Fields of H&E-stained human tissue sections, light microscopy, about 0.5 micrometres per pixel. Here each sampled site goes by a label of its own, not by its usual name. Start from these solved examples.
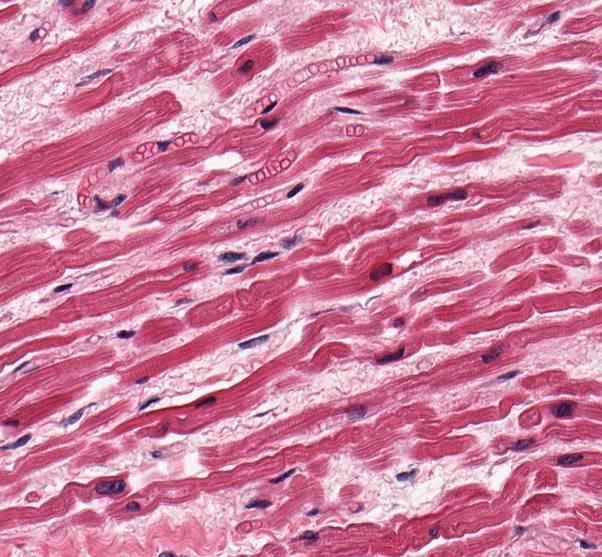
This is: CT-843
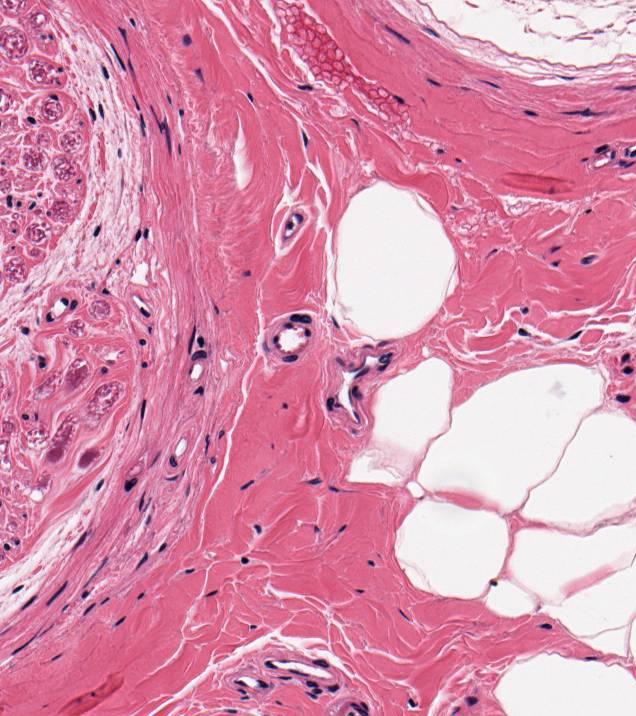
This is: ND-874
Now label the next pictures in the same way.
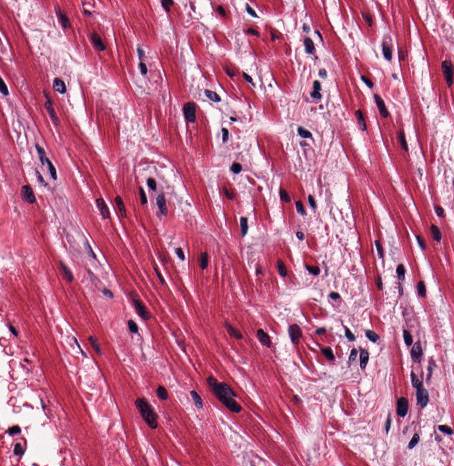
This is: CT-843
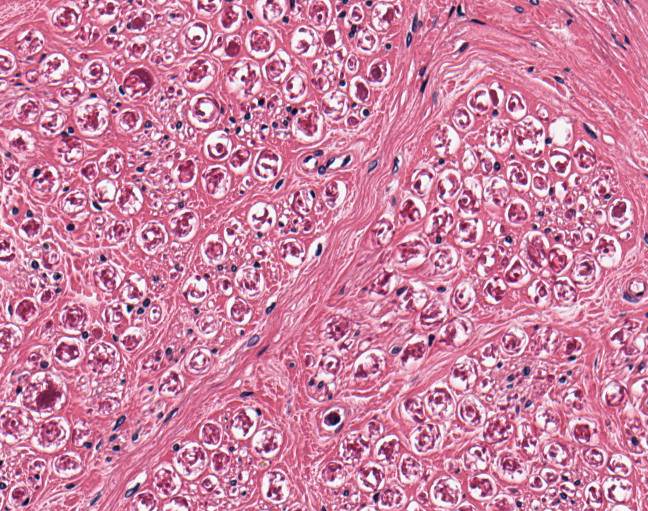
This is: ND-874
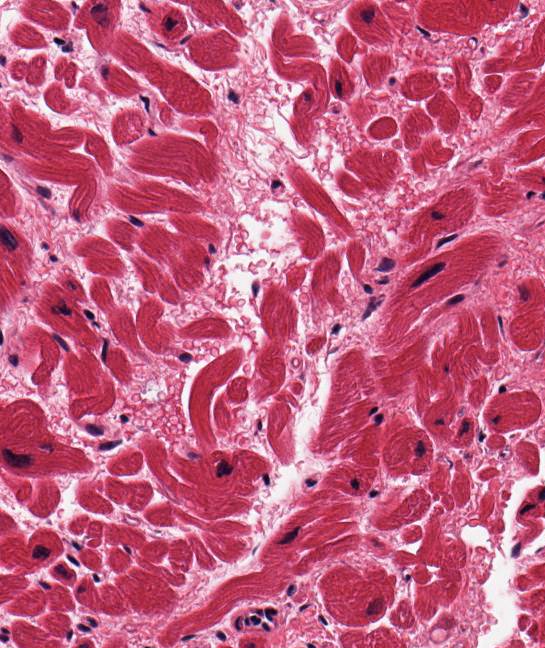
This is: CT-843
